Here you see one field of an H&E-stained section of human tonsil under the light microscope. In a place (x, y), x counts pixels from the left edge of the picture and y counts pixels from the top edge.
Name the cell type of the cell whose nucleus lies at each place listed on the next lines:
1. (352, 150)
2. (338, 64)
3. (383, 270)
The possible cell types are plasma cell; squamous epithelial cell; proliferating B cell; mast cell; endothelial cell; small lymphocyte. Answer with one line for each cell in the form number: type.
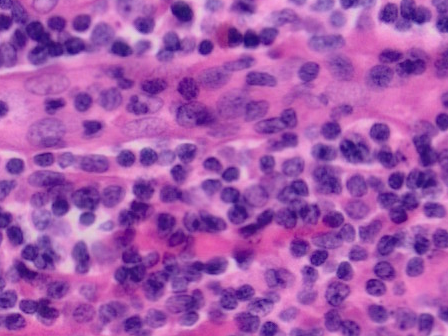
1: proliferating B cell
2: endothelial cell
3: plasma cell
